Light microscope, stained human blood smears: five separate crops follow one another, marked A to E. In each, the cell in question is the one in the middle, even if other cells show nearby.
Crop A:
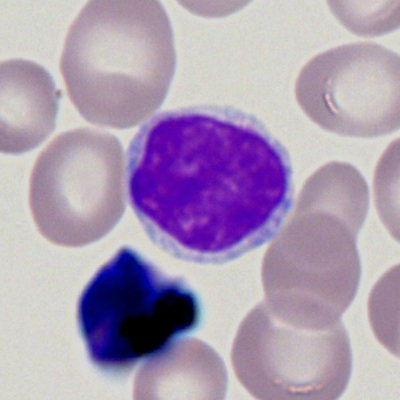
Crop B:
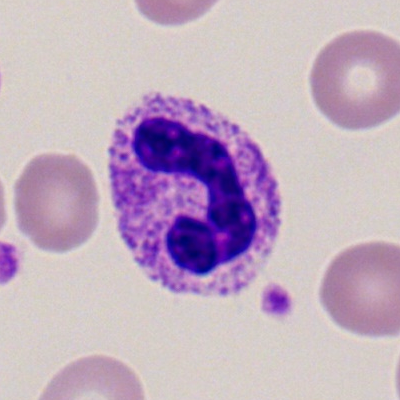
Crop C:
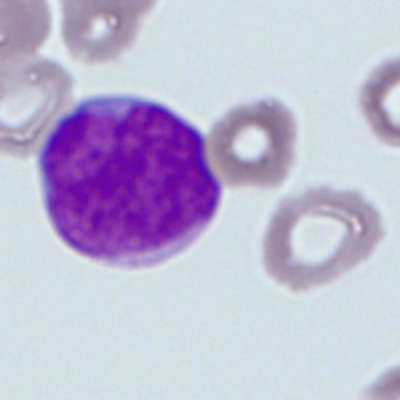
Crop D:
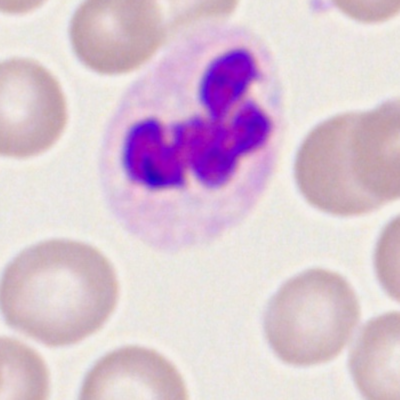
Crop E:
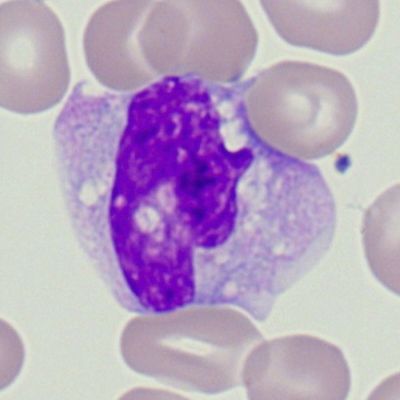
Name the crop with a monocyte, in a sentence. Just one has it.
Here the crop that shows a monocyte is crop E.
